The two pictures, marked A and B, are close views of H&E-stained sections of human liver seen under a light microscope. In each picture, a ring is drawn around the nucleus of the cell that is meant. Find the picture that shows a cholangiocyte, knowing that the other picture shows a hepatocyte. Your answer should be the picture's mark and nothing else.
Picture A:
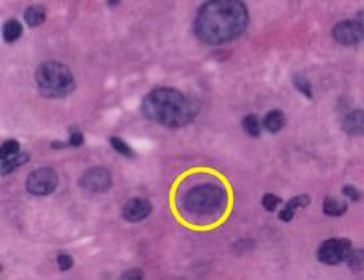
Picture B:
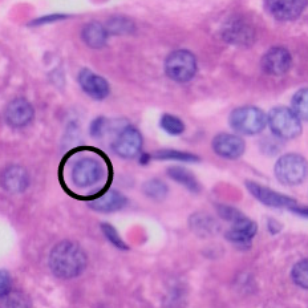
B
